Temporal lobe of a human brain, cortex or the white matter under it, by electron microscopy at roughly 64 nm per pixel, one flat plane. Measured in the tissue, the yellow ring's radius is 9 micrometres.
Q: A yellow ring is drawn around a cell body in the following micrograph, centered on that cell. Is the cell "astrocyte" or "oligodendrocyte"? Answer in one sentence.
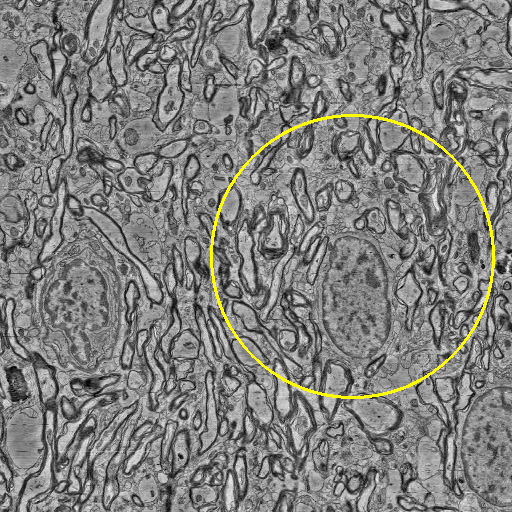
The cell in the center of the ring is an oligodendrocyte.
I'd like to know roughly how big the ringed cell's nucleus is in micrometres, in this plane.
About 8 by 5 micrometres, the nucleus being clearly longer than it is wide in this plane.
